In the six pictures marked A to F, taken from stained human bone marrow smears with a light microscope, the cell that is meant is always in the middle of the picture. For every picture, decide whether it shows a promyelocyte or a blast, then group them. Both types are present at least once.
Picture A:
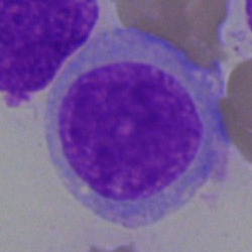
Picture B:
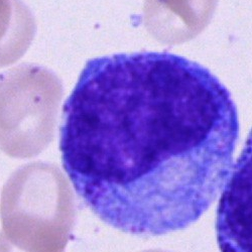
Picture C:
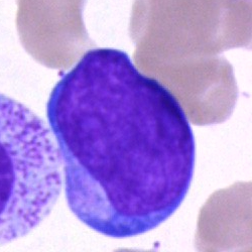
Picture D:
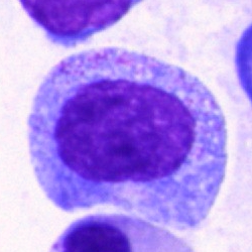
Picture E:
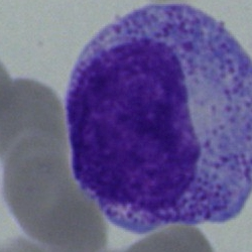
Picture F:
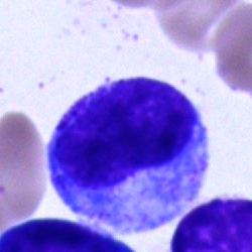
A: blast
B: promyelocyte
C: blast
D: promyelocyte
E: promyelocyte
F: promyelocyte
